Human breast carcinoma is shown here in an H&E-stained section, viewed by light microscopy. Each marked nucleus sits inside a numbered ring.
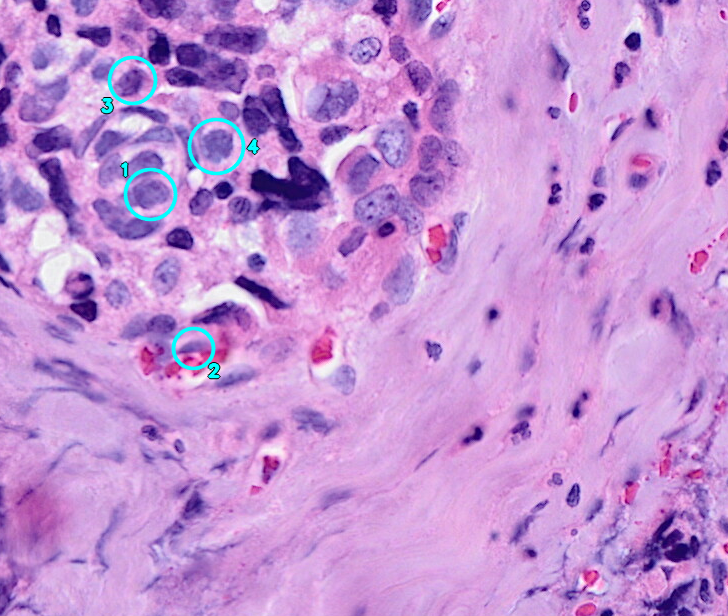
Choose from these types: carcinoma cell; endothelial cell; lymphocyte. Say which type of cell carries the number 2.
endothelial cell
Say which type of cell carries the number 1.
carcinoma cell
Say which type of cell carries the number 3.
carcinoma cell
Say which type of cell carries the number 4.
carcinoma cell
